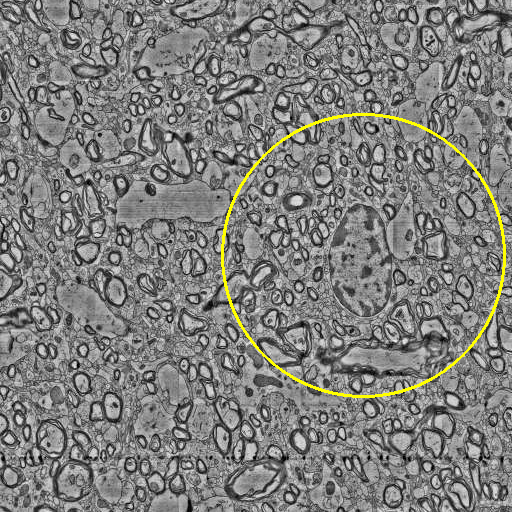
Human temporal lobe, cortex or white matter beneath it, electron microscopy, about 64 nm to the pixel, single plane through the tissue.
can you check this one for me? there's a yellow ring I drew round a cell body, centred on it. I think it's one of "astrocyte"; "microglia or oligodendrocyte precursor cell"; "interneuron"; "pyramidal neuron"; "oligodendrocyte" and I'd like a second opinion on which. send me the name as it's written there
microglia or oligodendrocyte precursor cell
